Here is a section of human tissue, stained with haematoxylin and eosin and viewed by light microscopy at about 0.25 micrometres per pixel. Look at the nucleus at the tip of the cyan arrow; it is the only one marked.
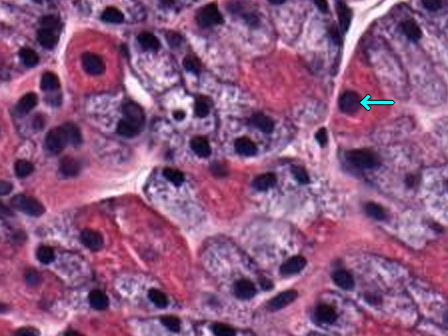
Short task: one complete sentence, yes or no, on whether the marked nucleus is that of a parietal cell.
Yes, the nucleus pointed to by the marking is that of a parietal cell.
